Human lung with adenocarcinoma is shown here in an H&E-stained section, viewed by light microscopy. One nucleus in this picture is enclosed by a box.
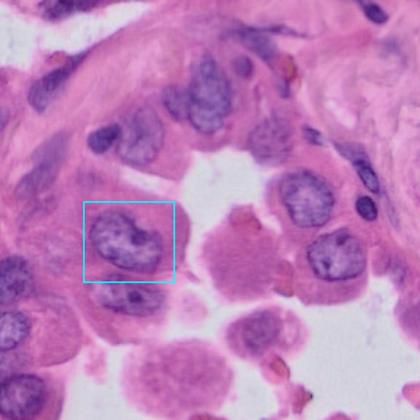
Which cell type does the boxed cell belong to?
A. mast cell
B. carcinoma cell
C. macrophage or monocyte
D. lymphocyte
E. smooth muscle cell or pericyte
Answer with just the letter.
B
